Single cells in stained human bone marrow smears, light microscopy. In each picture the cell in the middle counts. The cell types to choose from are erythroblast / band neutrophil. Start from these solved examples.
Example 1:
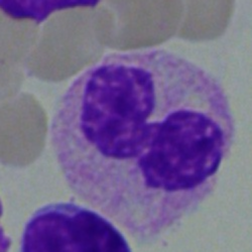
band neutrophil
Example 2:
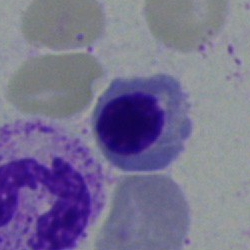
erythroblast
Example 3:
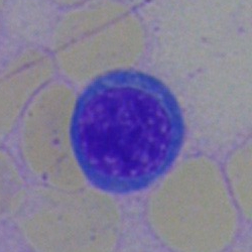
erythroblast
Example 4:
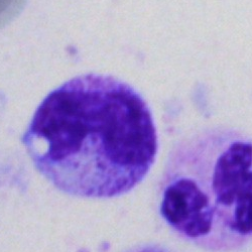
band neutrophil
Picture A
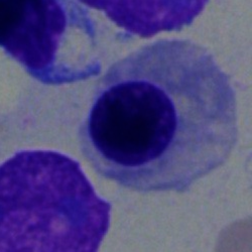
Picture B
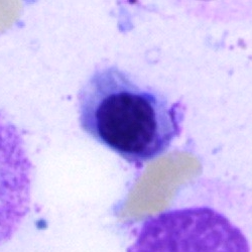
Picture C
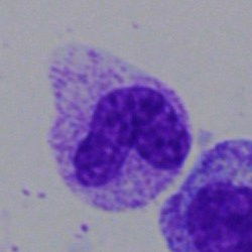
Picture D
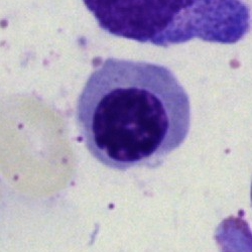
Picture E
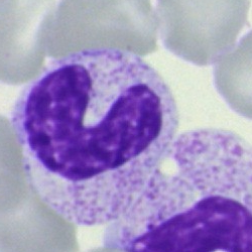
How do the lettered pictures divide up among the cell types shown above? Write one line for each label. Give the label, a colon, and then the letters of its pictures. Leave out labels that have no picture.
erythroblast: A, B, D
band neutrophil: C, E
